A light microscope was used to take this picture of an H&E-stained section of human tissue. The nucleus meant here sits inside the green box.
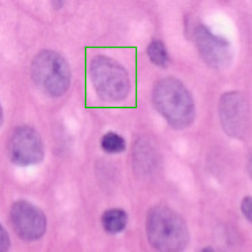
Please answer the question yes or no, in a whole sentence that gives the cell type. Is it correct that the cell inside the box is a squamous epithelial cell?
Yes, the cell inside the box is properly called a squamous epithelial cell in this section.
